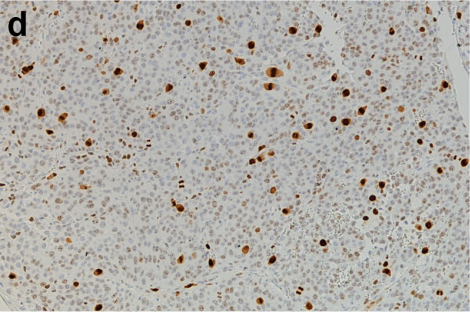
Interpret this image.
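Solid tumor tissue of crowded cells with round to oval nuclei, forming a continuous sheet with little intervening stroma. Many nuclei show pale brown staining, while scattered nuclei are intensely dark brown, some large and rounded. Strongly stained nuclei are distributed throughout the field without an obvious pattern. Cytoplasm is scant and pale, and cell borders are indistinct.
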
